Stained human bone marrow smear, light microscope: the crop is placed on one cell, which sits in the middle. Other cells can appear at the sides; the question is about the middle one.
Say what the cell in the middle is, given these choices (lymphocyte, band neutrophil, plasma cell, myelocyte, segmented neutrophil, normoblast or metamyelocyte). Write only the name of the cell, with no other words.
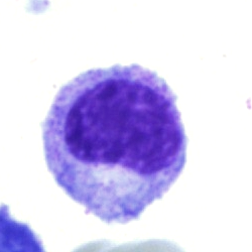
metamyelocyte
